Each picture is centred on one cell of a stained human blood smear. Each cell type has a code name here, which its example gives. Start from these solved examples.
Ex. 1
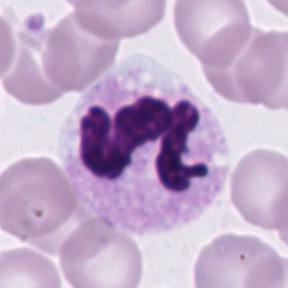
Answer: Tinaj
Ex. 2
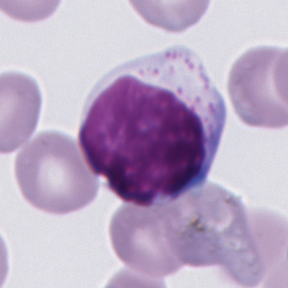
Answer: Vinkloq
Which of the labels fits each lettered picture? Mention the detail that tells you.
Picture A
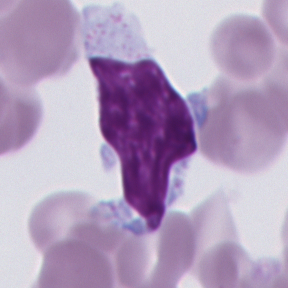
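Vinkloq. Evidence: The nucleus fills most of the cell.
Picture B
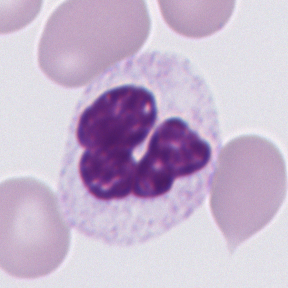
Tinaj. Evidence: A wide rim of pale pinkish-lilac cytoplasm surrounds the nucleus.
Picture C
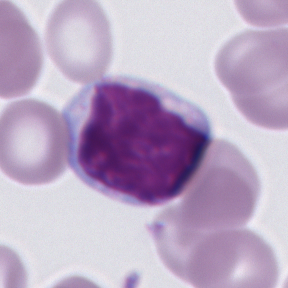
Vinkloq. Evidence: The cytoplasm forms a narrow pale bluish rim around the nucleus.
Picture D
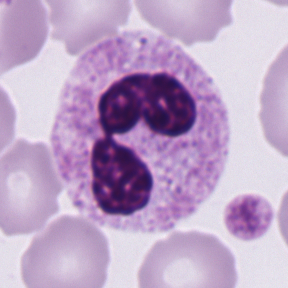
Tinaj. Evidence: The cytoplasm is abundant and pale pinkish-lilac.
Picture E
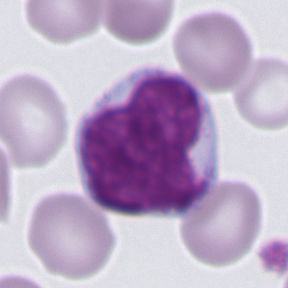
Vinkloq. Evidence: The cytoplasm forms only a thin, very pale grey-blue rim.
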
